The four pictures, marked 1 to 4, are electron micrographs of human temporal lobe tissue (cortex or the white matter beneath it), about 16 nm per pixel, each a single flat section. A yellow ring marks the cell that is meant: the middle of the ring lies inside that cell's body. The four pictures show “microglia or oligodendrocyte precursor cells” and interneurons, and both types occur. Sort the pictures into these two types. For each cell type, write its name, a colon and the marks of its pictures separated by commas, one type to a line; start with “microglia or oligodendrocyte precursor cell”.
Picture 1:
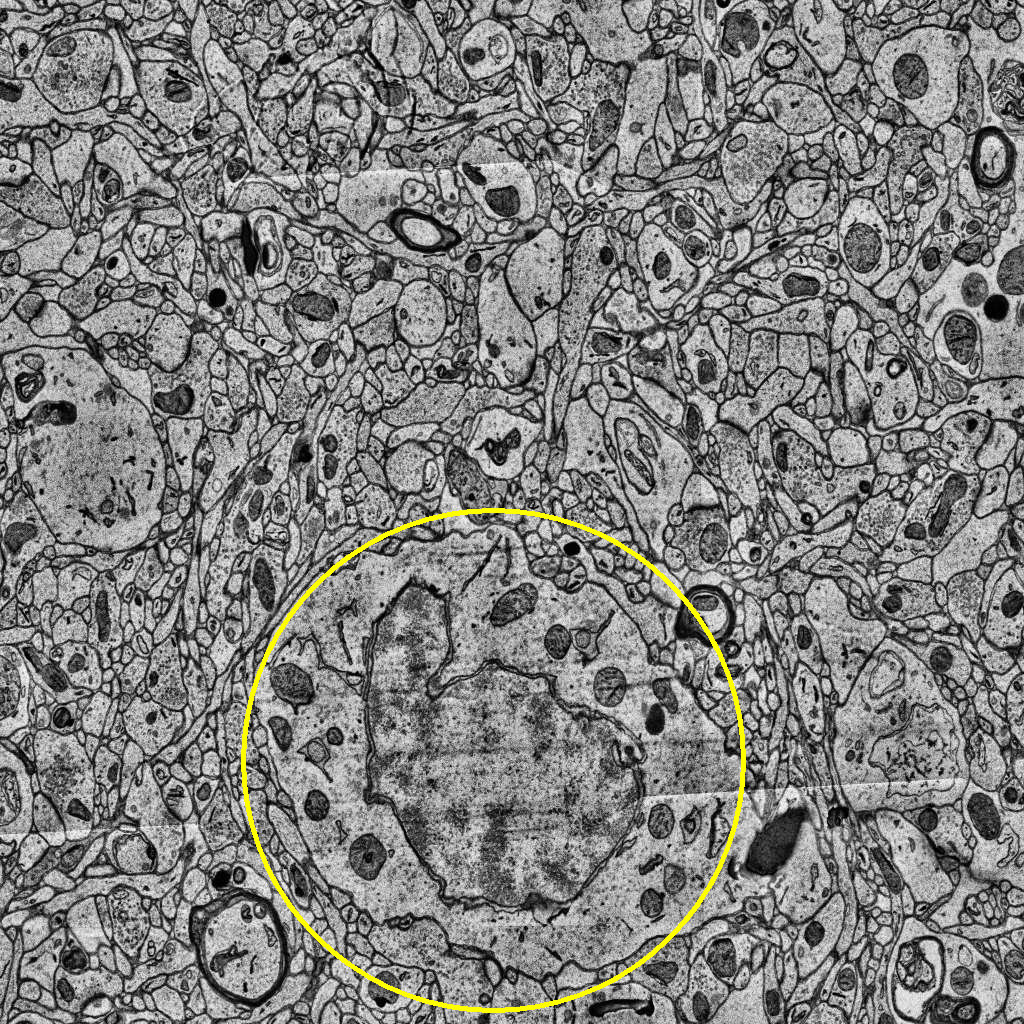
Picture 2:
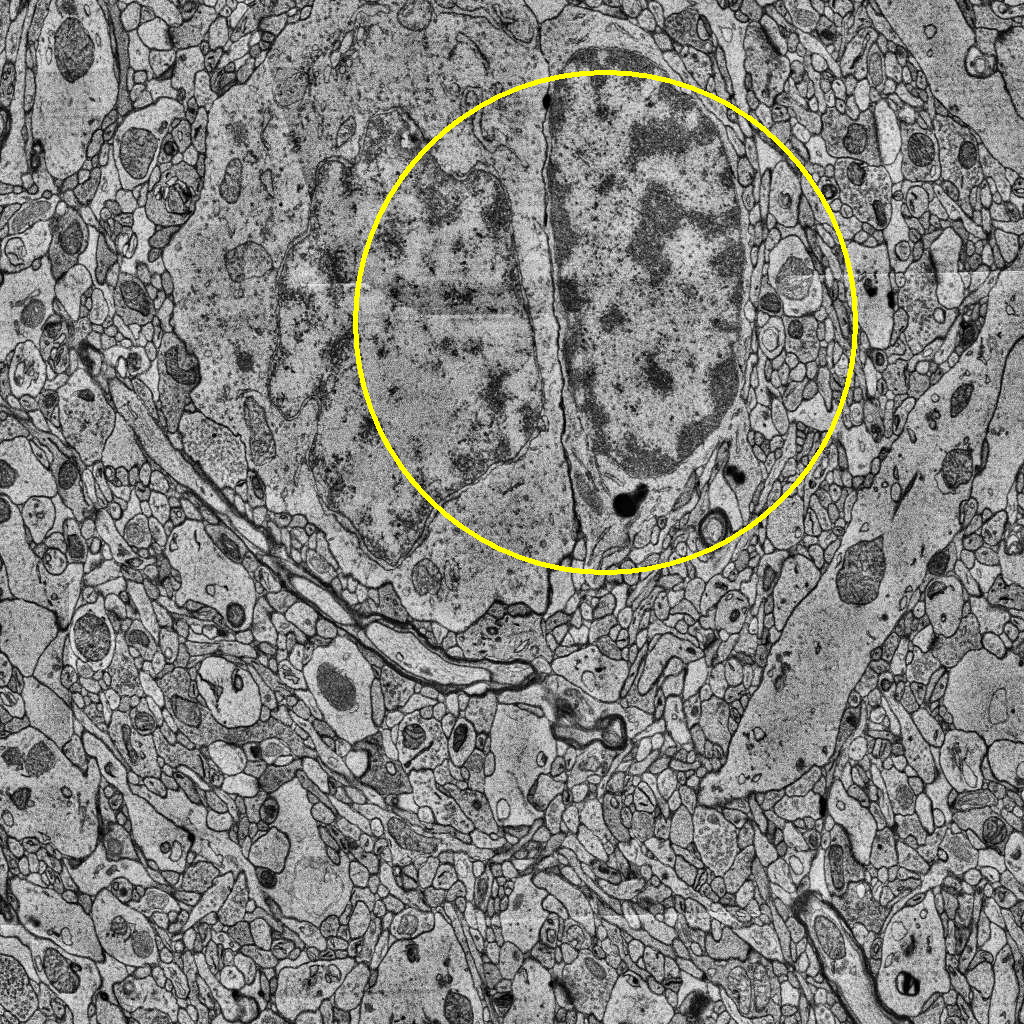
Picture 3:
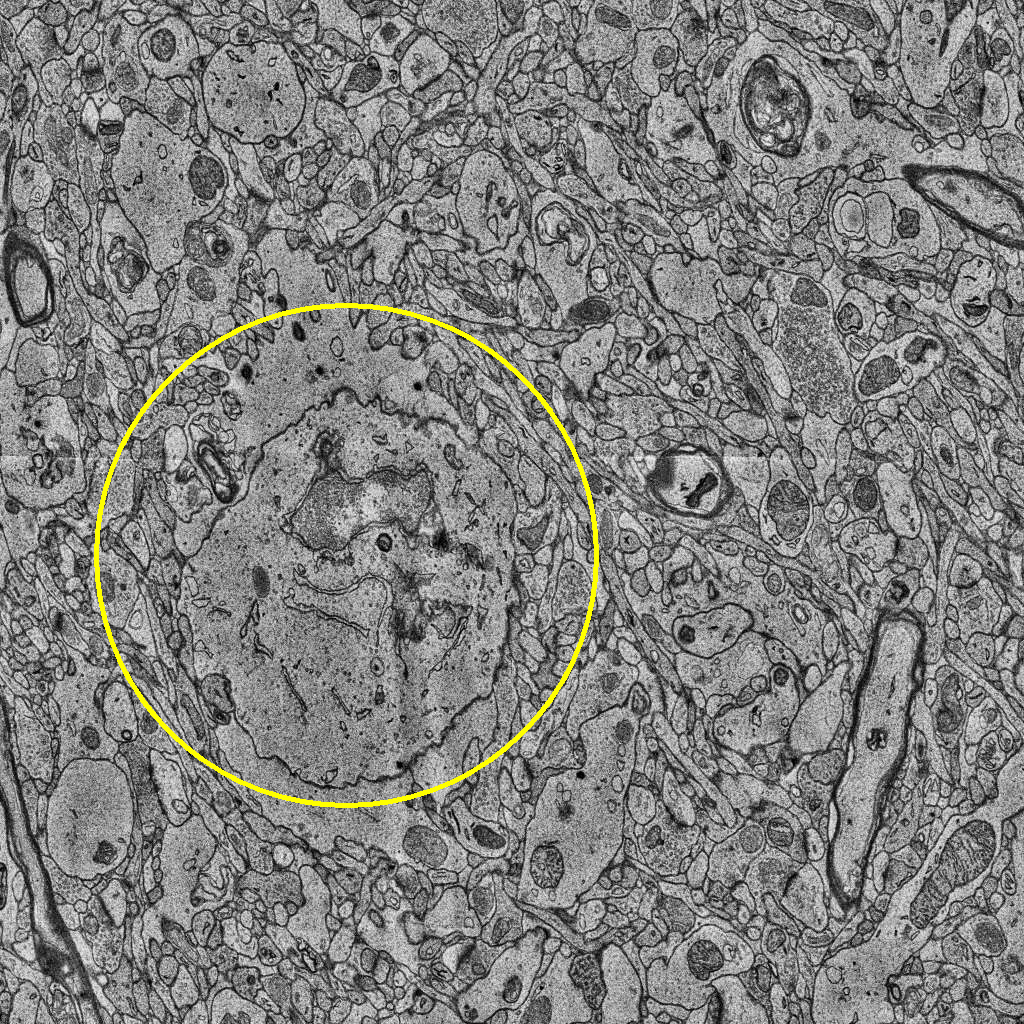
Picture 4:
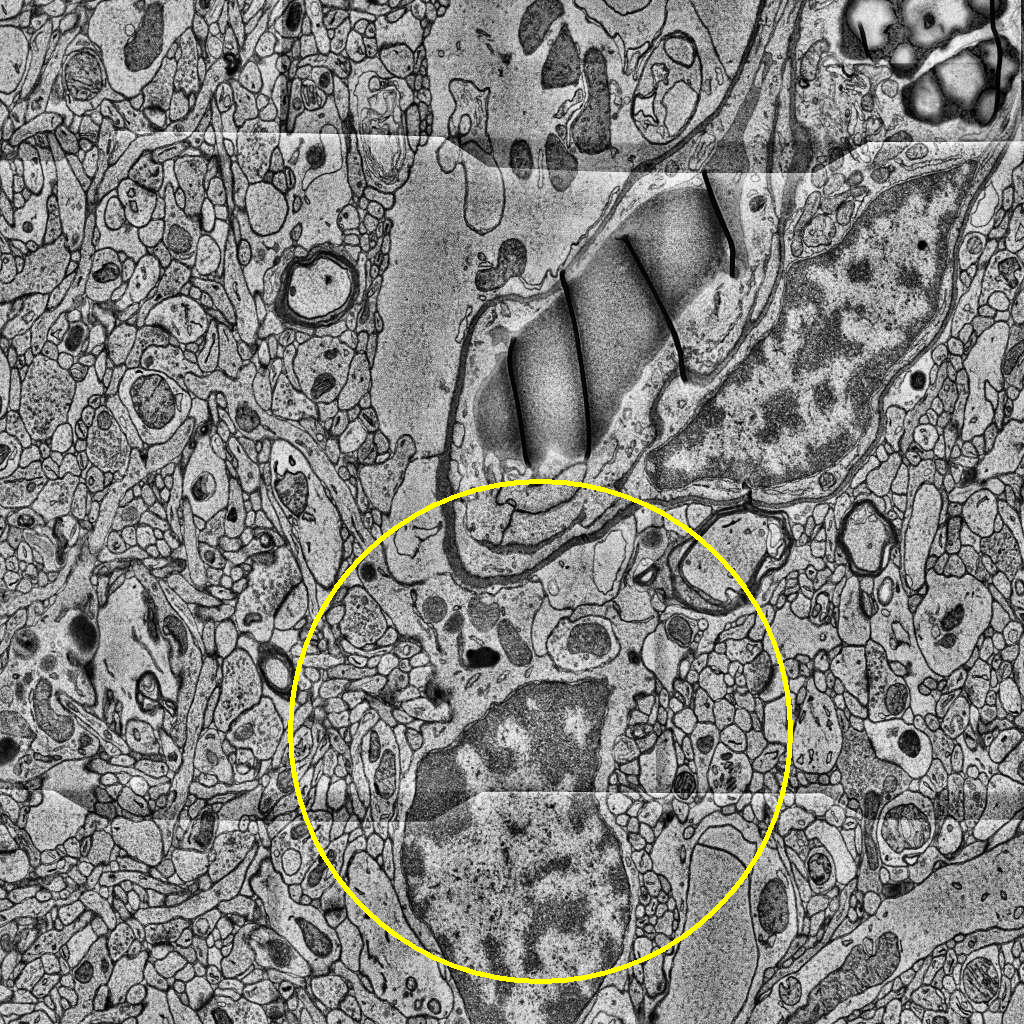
microglia or oligodendrocyte precursor cell: 2, 4
interneuron: 1, 3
